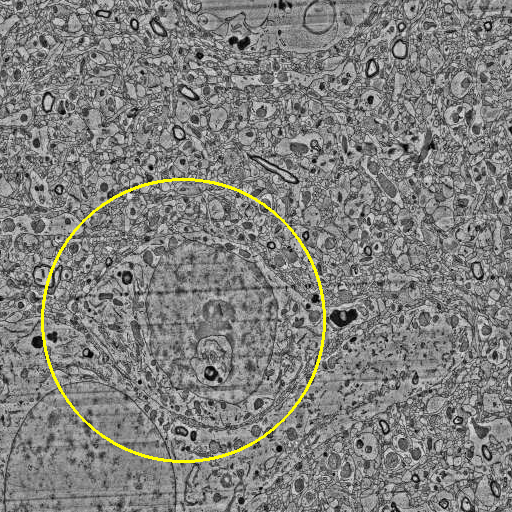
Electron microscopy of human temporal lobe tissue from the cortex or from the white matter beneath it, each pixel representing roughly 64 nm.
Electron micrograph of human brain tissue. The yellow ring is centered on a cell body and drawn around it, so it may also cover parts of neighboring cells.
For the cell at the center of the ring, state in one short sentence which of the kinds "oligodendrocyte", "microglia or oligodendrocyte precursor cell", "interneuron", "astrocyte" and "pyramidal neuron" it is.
This ring is centered on an interneuron.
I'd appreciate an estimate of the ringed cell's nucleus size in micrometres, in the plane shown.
The ringed cell's nucleus is about 11 micrometres long and 9 micrometres wide in this plane.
